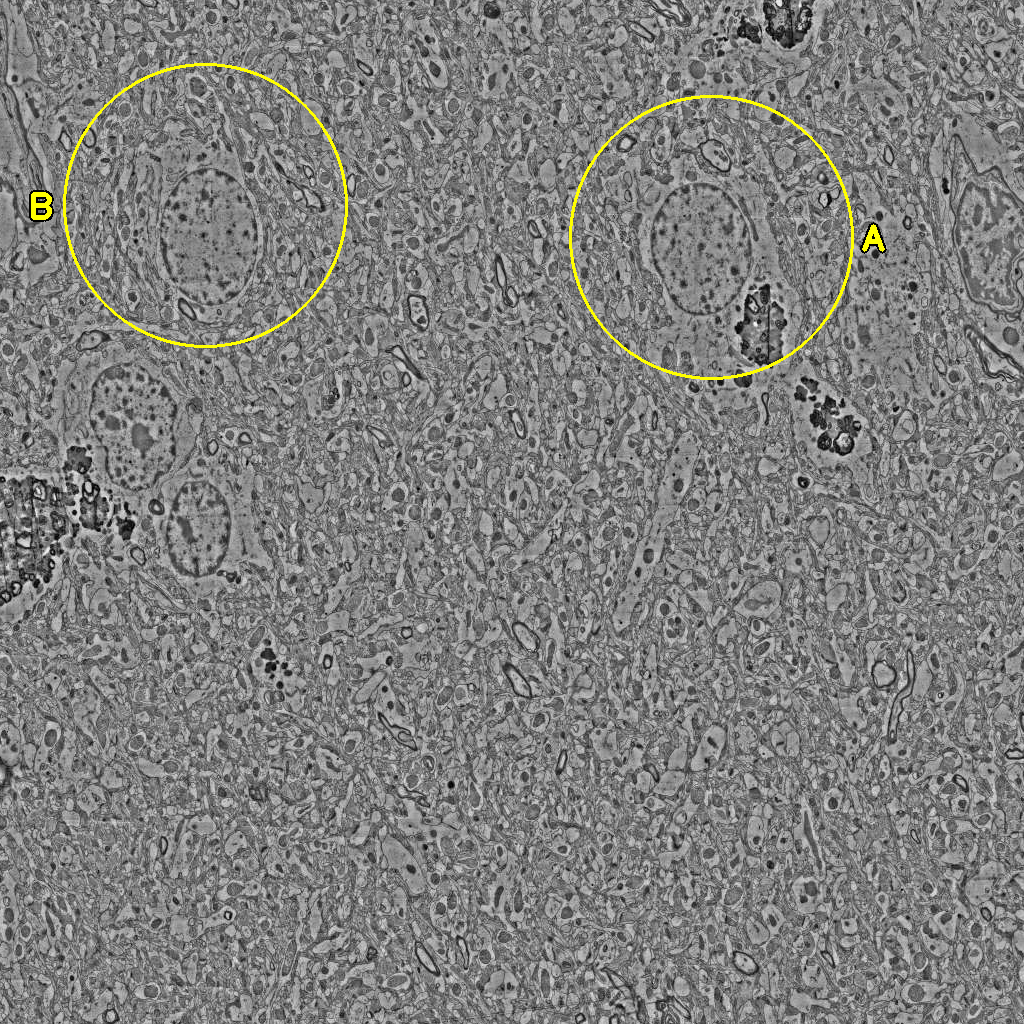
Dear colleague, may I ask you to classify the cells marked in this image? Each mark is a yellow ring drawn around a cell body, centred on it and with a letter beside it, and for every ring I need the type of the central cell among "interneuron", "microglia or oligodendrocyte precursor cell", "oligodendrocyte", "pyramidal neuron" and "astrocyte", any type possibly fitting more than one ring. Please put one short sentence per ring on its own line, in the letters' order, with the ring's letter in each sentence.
Ring A contains an astrocyte at its centre.
Ring B contains an astrocyte at its centre.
